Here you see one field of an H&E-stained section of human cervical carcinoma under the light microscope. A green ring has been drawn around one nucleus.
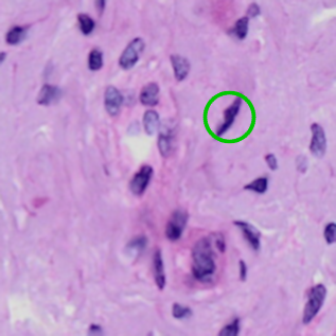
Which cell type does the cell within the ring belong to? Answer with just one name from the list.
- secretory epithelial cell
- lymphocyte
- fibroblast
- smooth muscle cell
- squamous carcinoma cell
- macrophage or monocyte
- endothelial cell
fibroblast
